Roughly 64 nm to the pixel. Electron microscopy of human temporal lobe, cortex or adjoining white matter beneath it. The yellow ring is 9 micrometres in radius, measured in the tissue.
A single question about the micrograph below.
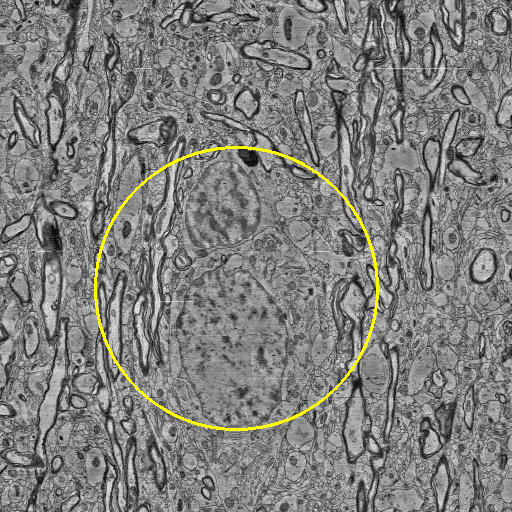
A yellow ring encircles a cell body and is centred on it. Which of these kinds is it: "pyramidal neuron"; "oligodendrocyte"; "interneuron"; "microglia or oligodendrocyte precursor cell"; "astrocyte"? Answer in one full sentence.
The cell body at the centre of the yellow ring belongs to an interneuron.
